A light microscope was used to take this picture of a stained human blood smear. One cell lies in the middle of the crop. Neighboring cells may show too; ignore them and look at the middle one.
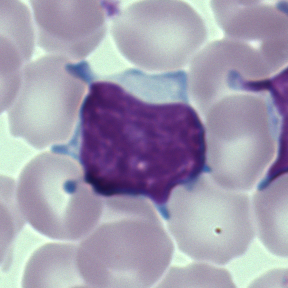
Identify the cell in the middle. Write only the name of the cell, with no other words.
lymphocyte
